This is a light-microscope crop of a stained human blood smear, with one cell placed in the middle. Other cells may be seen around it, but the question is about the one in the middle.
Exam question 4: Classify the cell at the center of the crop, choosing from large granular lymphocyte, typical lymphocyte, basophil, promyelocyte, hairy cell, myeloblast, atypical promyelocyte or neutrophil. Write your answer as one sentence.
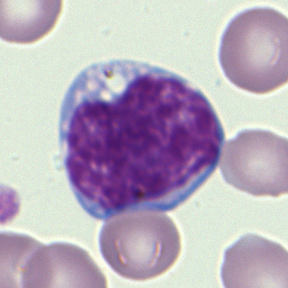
Where the crop is centred, there is a myeloblast.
